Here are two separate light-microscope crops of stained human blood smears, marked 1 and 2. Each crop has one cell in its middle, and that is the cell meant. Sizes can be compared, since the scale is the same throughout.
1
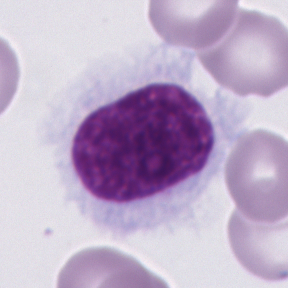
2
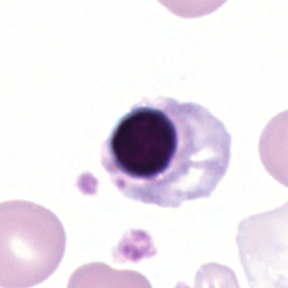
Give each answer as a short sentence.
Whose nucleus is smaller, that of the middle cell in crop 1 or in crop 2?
Crop 2 shows the smaller nucleus, since that in crop 1 covers about 4 times as much area.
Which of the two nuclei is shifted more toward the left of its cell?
In crop 2 the nucleus is shifted more toward the left.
